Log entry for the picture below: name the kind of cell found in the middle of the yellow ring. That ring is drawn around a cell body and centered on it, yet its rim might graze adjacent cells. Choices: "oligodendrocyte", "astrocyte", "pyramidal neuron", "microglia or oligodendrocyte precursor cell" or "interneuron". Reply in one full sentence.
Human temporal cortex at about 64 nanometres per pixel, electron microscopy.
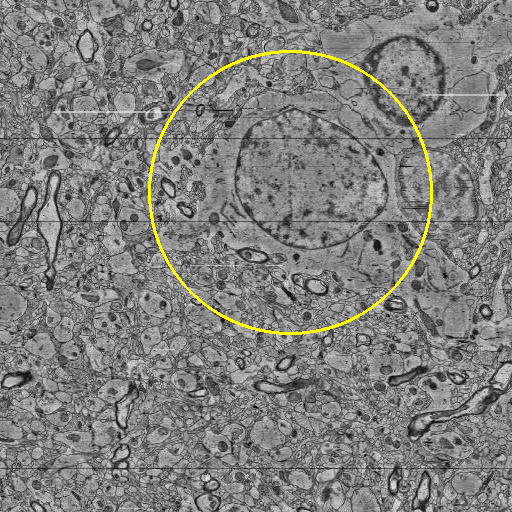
The cell in the middle of the yellow ring in this picture is an astrocyte.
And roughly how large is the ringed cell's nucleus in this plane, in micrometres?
In this plane, approximately 10 by 8 micrometers.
